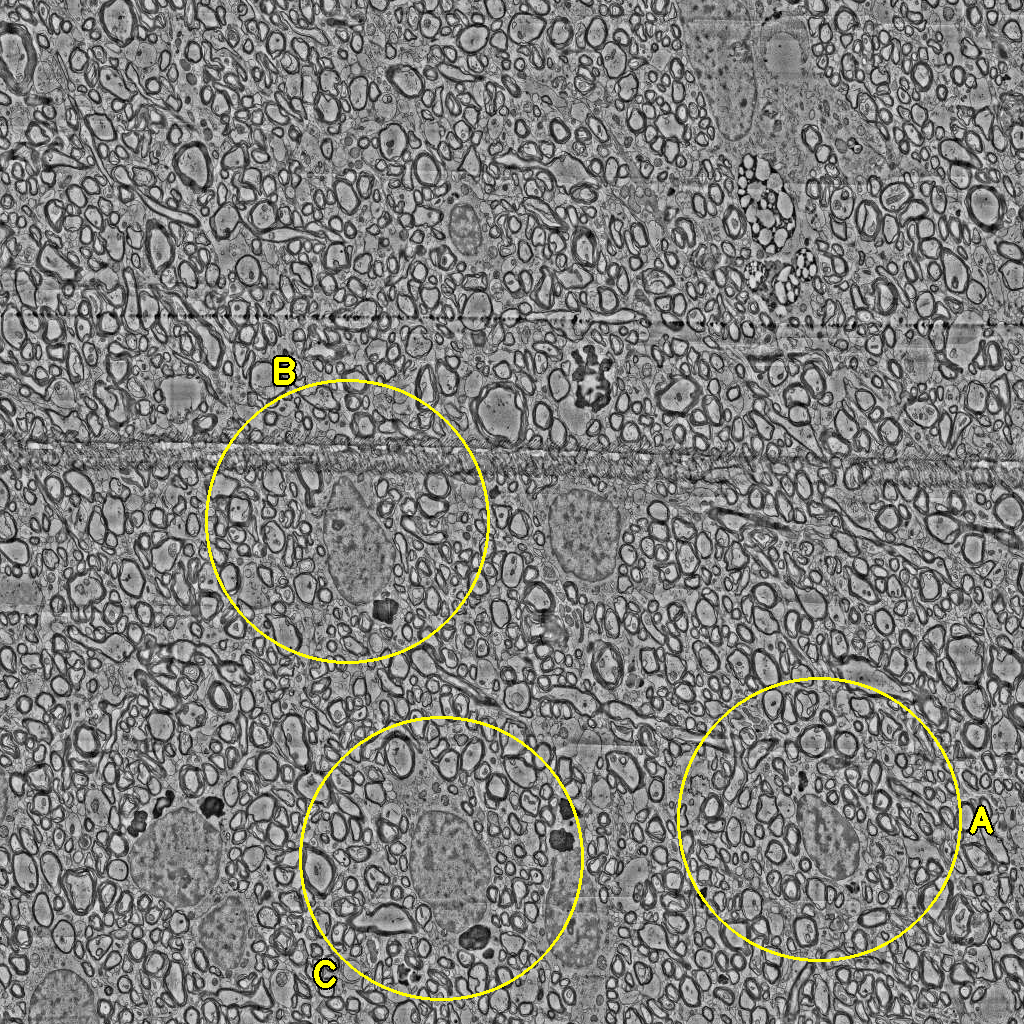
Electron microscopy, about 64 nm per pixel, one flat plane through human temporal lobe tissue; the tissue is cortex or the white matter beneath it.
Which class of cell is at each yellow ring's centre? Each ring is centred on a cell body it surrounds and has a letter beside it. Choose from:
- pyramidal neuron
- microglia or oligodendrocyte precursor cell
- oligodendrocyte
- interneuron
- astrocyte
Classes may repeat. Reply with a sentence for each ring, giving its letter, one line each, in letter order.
The ring lettered A is centred on a microglial cell or oligodendrocyte precursor cell.
The ring lettered B is centred on an oligodendrocyte.
The ring lettered C is centred on an oligodendrocyte.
